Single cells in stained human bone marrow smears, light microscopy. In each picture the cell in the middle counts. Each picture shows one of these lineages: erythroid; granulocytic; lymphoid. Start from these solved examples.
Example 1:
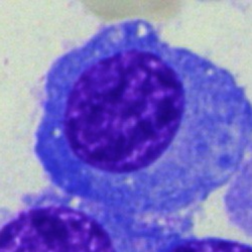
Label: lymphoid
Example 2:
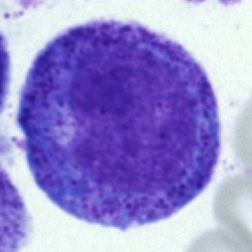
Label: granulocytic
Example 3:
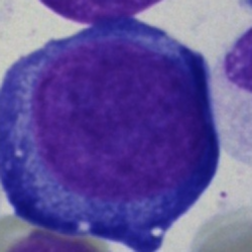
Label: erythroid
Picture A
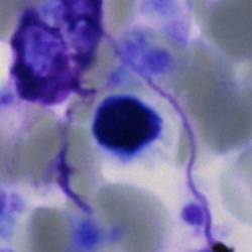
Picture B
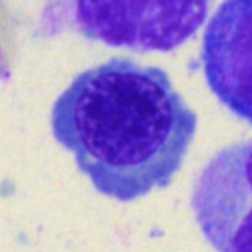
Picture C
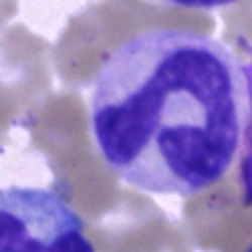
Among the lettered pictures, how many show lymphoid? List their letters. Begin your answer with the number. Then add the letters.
1, namely A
